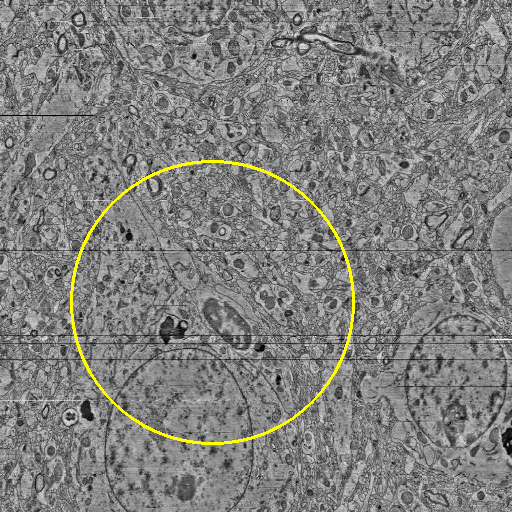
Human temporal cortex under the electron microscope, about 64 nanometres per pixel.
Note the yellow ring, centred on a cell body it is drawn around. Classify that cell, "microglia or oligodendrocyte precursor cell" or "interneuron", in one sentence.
The cell the ring is centred on is a microglial cell or oligodendrocyte precursor cell.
